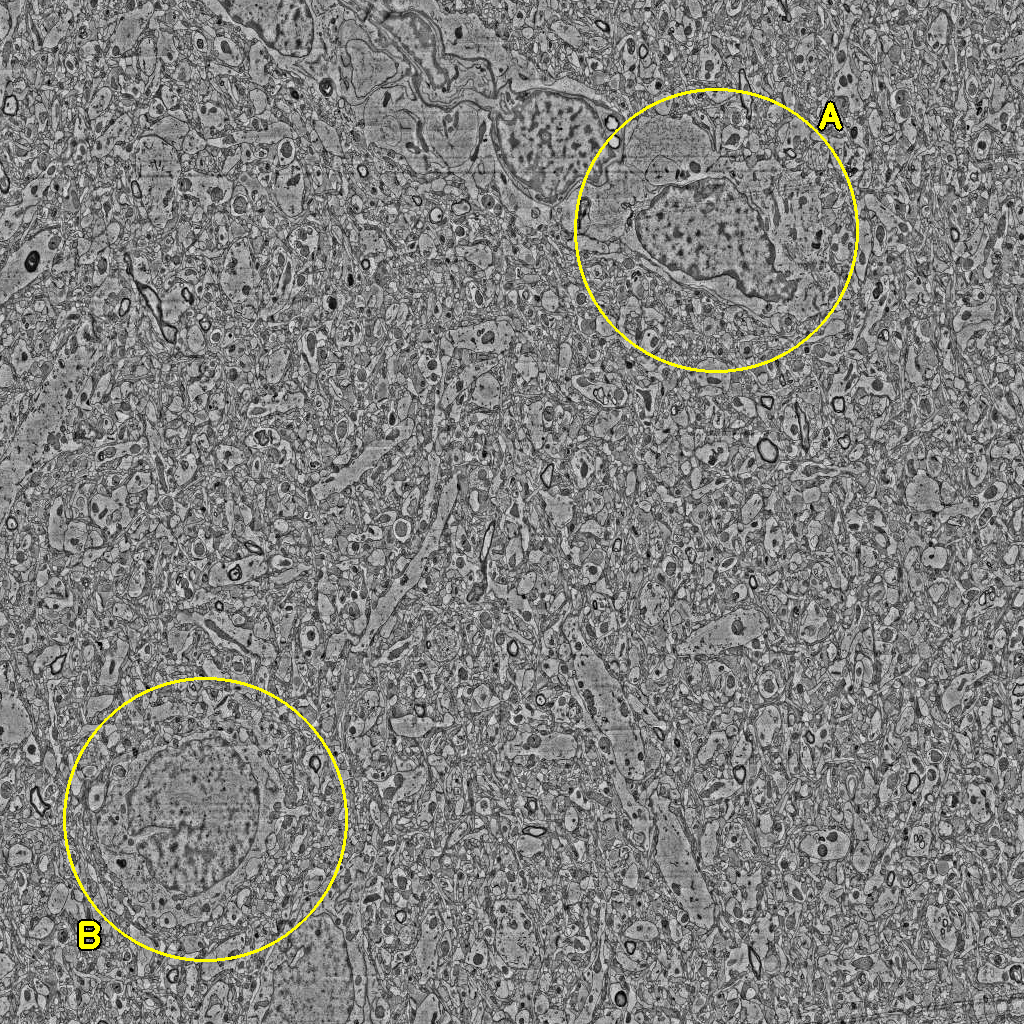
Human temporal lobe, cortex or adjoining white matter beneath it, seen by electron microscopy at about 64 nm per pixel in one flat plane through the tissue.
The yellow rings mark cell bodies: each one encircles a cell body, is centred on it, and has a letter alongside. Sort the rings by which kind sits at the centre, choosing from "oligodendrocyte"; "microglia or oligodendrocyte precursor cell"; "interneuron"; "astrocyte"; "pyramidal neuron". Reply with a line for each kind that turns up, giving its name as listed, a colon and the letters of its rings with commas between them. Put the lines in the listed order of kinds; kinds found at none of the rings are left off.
microglia or oligodendrocyte precursor cell: A
interneuron: B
